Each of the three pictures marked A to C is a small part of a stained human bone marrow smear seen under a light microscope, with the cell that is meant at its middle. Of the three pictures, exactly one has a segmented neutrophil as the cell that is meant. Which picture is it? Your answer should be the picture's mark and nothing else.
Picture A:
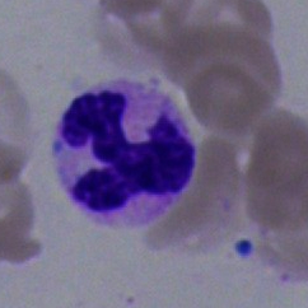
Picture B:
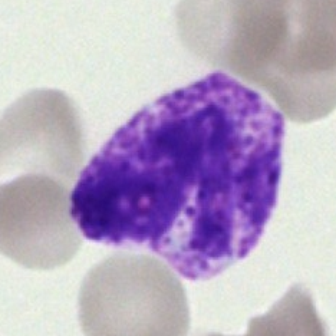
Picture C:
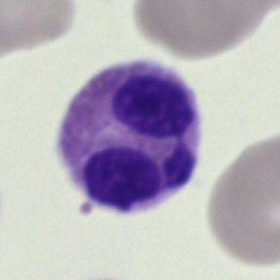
A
